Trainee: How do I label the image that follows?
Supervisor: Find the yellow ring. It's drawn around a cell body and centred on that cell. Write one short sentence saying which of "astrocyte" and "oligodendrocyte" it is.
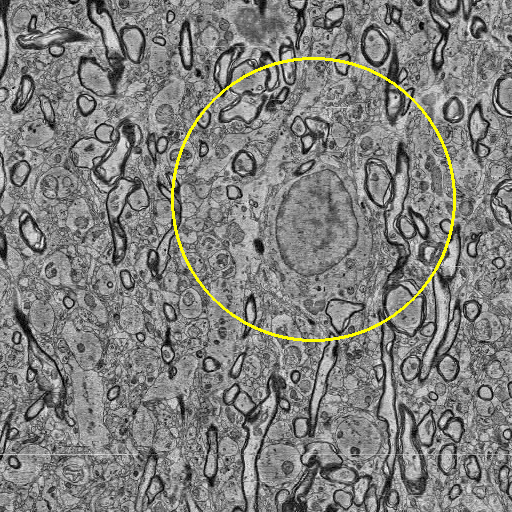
This is the cell body of an oligodendrocyte.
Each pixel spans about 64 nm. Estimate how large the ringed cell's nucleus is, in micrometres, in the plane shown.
In this plane, approximately 7 by 5 micrometers.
